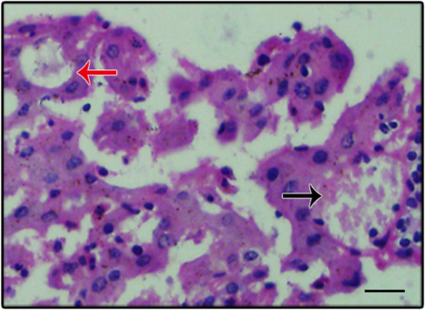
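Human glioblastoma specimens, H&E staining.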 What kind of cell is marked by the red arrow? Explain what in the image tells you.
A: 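The arrow points to large cells with abundant pink cytoplasm lining a small rounded channel. Their nuclei are large, round to oval and variable in size.
Conclusion: malignant tumor cells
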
